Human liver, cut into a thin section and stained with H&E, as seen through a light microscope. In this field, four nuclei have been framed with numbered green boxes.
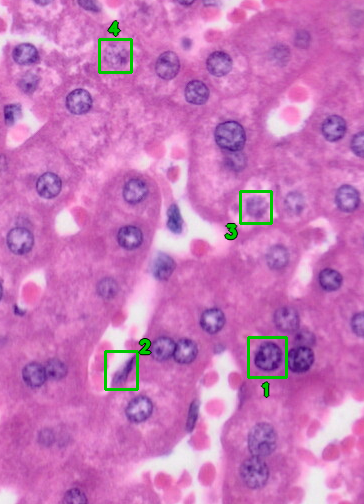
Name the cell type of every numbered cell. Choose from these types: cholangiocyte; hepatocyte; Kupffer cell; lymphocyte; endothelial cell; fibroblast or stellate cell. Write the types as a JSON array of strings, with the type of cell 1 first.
["hepatocyte", "Kupffer cell", "hepatocyte", "hepatocyte"]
